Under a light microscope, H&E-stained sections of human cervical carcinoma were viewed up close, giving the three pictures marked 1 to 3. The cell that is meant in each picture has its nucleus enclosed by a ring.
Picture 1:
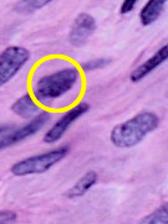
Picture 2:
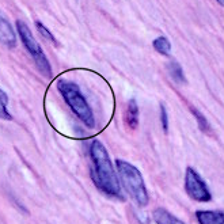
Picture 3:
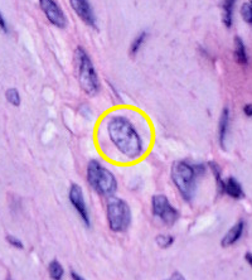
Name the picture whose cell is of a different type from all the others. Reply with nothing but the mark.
1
